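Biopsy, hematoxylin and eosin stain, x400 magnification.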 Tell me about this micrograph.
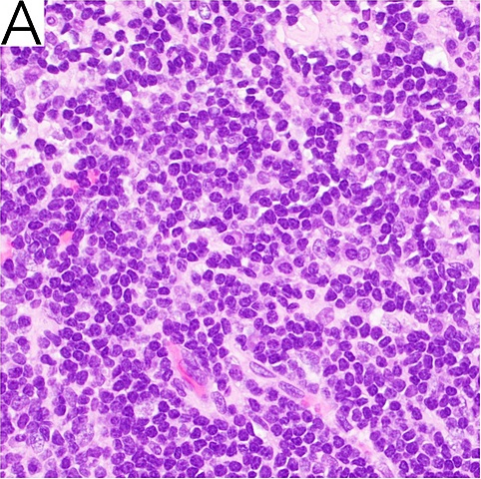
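This tissue is replaced by sheets of small lymphocytes packed closely together. Their nuclei are small, round and deep purple with coarse, clumped chromatin, and each is surrounded by only a scant rim of pale cytoplasm. Thin pink strands and a few small vessels run between the crowded cells, and scattered slightly larger cells with paler nuclei lie among them.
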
